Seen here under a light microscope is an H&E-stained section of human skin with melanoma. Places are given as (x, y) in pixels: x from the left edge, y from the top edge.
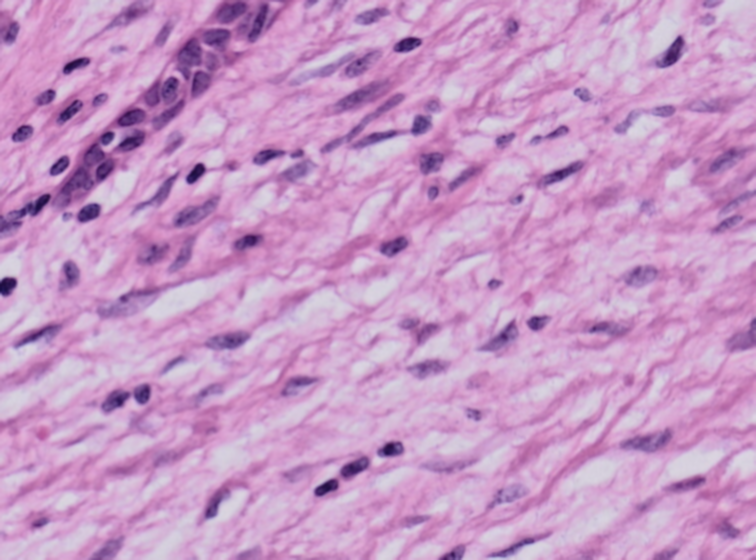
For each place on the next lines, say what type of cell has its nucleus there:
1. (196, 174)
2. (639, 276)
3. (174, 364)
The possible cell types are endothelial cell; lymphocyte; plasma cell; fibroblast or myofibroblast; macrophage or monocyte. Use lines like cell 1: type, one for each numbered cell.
cell 1: lymphocyte
cell 2: fibroblast or myofibroblast
cell 3: fibroblast or myofibroblast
